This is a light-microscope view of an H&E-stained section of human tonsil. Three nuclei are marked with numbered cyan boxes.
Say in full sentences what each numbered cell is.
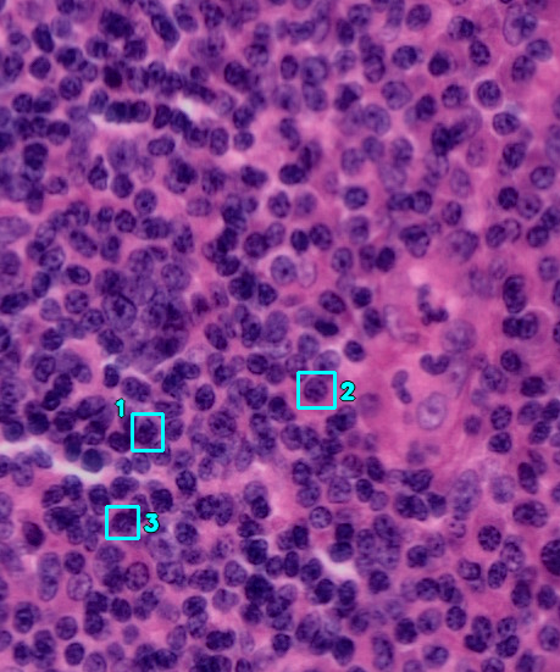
Cell 1 is a small lymphocyte, cell 2 is a plasma cell and cell 3 is a small lymphocyte.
